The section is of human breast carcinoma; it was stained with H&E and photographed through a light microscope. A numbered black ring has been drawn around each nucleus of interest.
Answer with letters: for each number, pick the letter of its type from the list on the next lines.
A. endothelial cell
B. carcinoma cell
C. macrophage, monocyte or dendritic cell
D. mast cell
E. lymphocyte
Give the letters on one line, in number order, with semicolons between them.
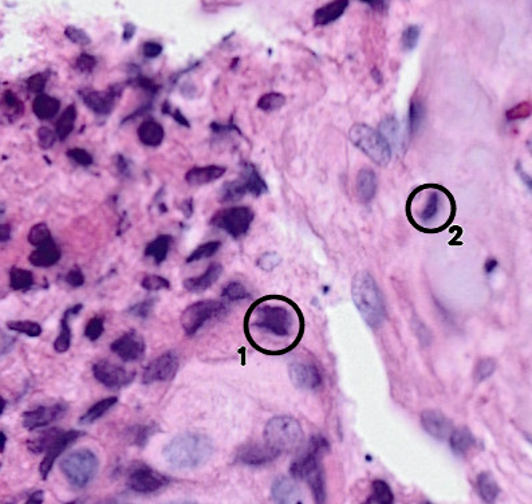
B; E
